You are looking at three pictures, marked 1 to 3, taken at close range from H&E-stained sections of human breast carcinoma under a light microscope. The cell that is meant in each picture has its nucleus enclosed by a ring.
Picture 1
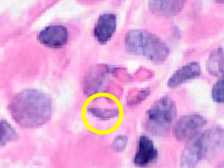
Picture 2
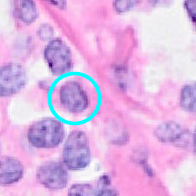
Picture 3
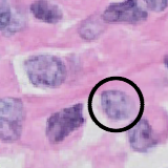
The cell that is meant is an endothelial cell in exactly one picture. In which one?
1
